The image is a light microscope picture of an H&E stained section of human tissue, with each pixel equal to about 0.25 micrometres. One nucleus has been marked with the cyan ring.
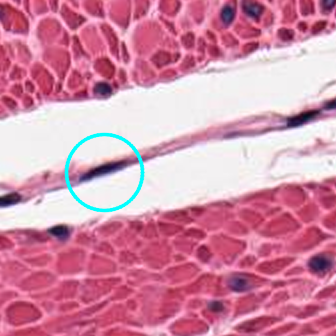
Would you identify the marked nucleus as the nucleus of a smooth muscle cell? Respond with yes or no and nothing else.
no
